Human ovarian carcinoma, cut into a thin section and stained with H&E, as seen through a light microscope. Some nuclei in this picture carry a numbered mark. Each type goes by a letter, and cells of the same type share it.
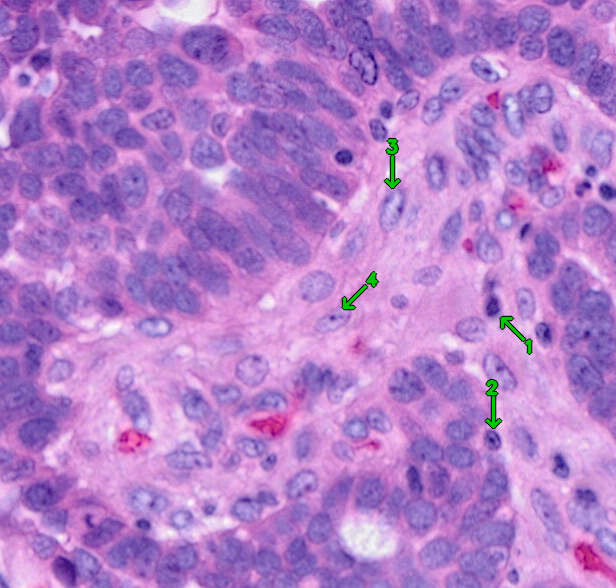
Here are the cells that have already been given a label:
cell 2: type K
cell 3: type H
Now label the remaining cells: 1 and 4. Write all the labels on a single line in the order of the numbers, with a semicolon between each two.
type K; type H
